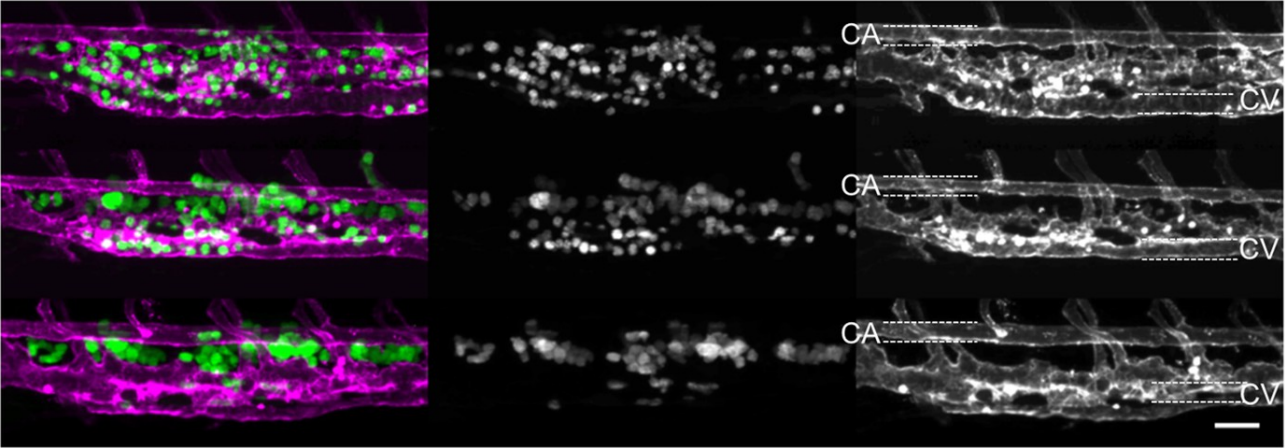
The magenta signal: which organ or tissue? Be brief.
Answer: Endothelium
